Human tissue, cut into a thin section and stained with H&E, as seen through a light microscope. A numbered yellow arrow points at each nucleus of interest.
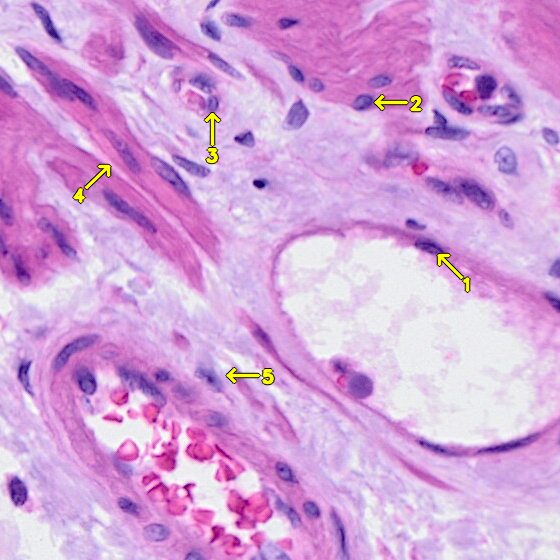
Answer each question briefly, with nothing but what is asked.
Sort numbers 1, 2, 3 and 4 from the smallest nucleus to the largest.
3, 2, 1, 4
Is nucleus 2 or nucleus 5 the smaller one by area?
2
